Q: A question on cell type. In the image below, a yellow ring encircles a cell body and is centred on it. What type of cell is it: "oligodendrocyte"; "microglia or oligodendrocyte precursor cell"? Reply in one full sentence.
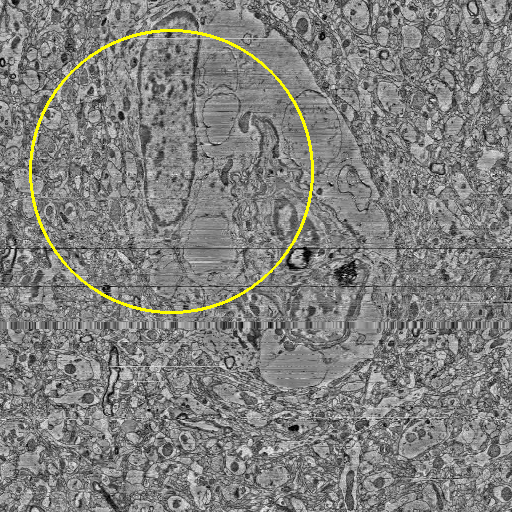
It is a microglial cell or oligodendrocyte precursor cell whose cell body sits at the centre of the yellow ring in the image.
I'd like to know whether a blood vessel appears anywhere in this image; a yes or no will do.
Yes, a vessel shows somewhere in the image.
